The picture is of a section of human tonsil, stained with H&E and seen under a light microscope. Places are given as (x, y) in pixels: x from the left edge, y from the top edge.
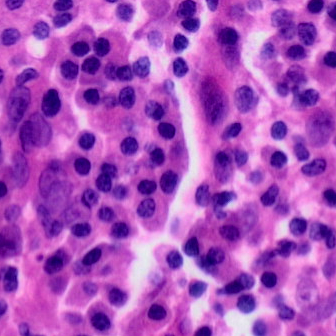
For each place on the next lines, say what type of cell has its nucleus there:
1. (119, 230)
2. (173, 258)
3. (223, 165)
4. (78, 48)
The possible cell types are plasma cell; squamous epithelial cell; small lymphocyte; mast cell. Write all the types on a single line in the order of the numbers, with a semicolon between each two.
plasma cell; plasma cell; squamous epithelial cell; plasma cell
